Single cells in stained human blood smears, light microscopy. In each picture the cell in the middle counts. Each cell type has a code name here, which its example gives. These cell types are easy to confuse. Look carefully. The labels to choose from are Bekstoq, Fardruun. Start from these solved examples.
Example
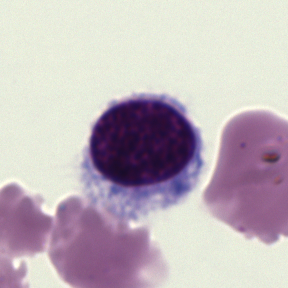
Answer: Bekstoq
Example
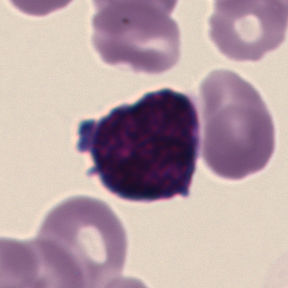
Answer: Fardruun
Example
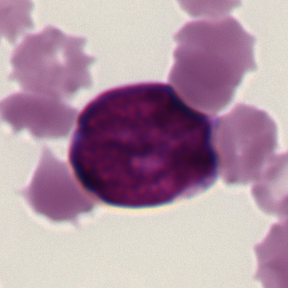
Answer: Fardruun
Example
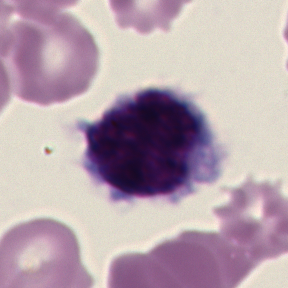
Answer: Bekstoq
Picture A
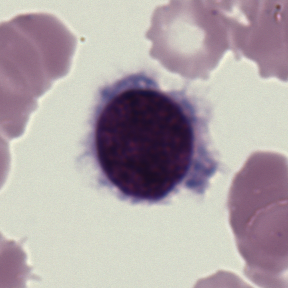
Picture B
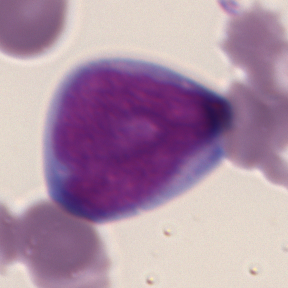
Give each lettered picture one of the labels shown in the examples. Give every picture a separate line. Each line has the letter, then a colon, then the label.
A: Bekstoq
B: Fardruun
